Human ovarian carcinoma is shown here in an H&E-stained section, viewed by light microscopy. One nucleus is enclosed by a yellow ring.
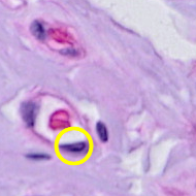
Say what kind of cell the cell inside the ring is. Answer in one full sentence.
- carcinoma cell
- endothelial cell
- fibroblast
Recorded by type, the cell inside the ring is an endothelial cell.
